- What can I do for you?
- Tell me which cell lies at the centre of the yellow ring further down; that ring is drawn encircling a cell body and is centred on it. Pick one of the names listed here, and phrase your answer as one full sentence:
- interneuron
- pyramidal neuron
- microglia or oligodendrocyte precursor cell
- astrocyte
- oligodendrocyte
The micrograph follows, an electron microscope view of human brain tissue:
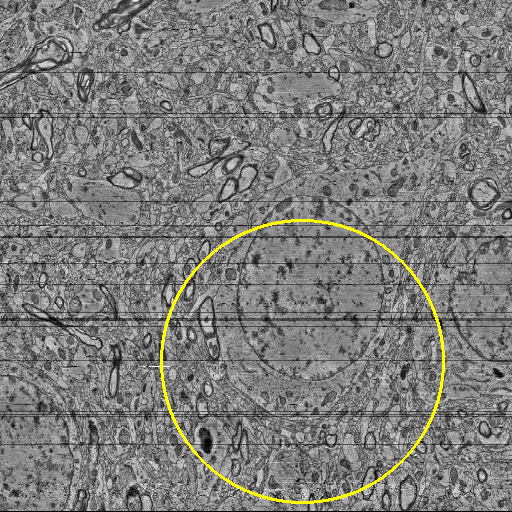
The cell whose body lies at the centre of the yellow ring is a pyramidal neuron.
